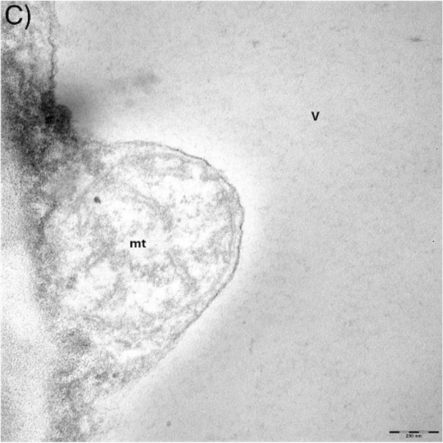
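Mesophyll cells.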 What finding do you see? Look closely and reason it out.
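Few cristae and low electron density. The rounded organelle bulging into the vacuole is pale. Only a few faint internal membrane folds are visible inside it.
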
